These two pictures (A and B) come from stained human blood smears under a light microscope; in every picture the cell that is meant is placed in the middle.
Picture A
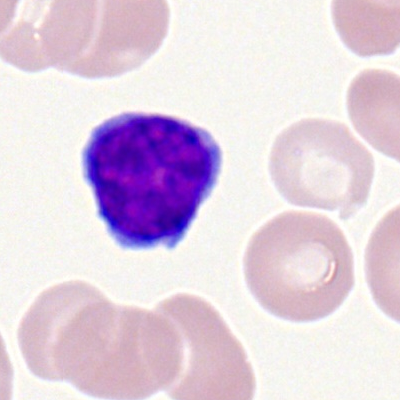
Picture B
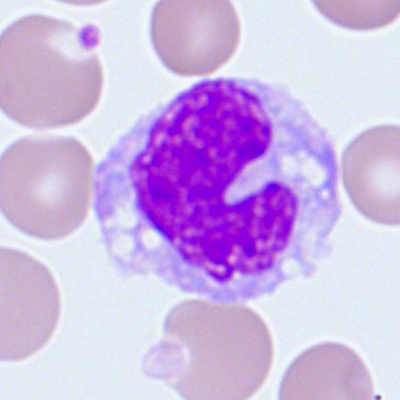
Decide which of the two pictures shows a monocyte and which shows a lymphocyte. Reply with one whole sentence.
The cell in picture A is a lymphocyte, and the one in picture B is a monocyte.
